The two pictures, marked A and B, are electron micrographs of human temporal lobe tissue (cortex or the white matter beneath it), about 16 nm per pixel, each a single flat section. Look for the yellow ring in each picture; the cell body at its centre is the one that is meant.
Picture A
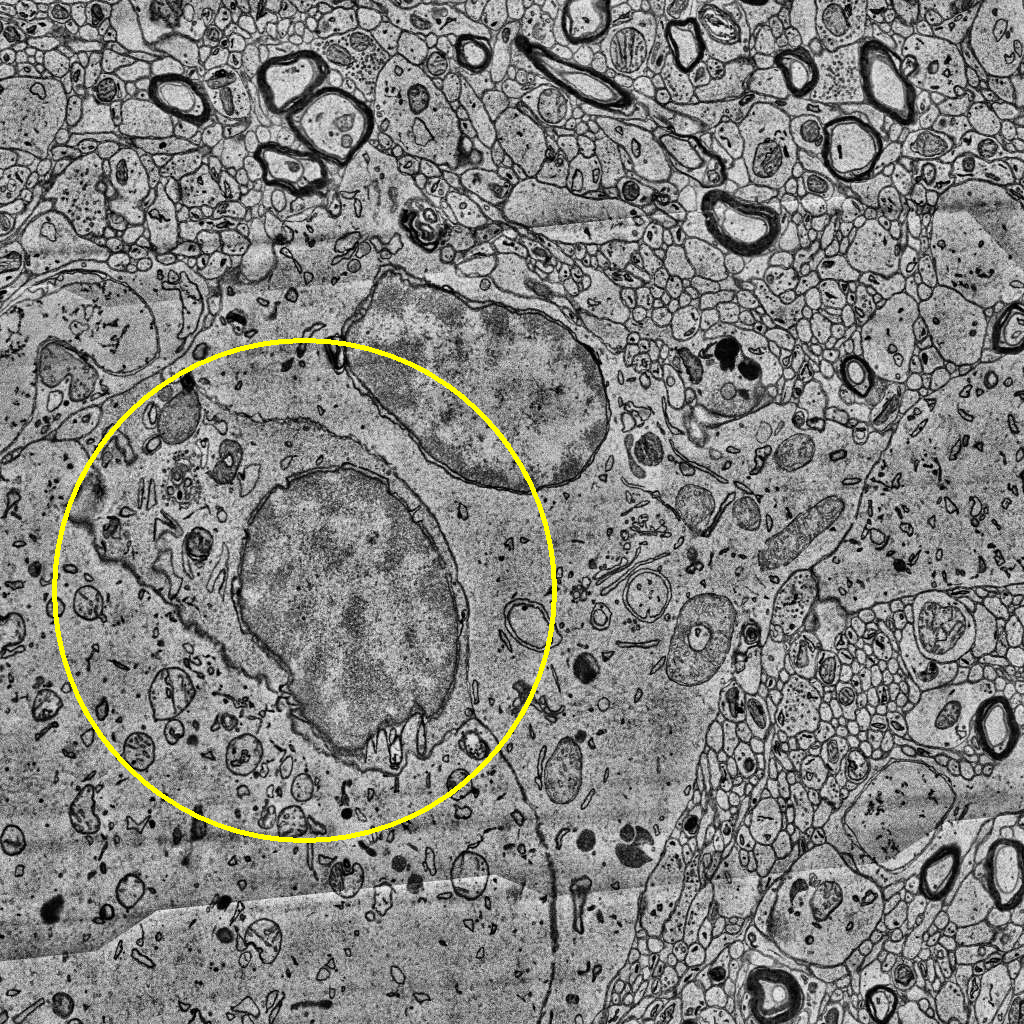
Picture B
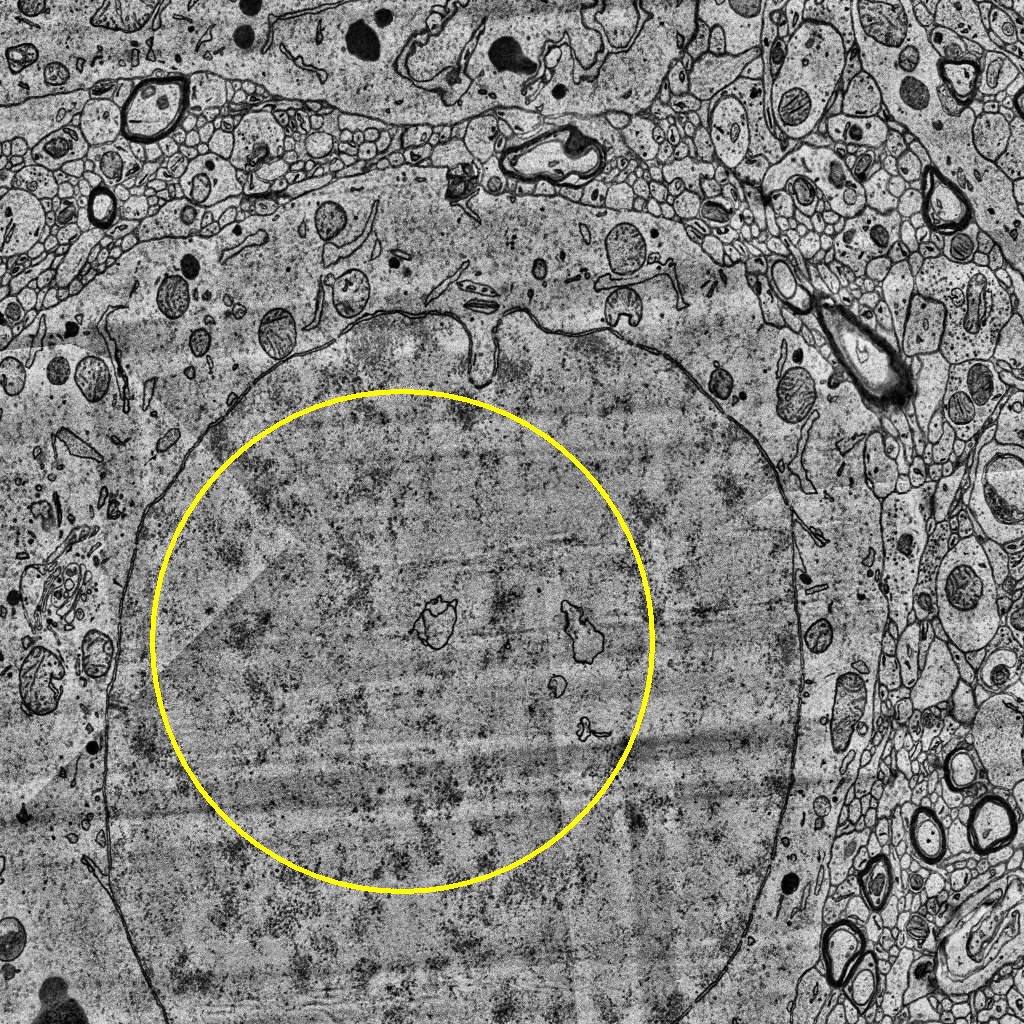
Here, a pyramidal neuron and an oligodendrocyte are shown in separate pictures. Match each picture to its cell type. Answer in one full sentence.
The cell in picture A is an oligodendrocyte, and the one in picture B is a pyramidal neuron.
